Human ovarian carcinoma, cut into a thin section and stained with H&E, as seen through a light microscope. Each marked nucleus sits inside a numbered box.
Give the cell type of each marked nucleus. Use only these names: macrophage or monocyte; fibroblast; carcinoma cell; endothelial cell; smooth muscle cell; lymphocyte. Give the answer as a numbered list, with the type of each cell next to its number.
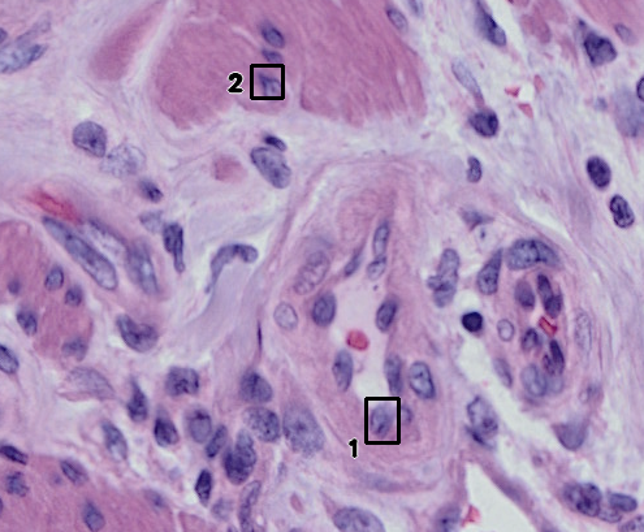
1. endothelial cell
2. smooth muscle cell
